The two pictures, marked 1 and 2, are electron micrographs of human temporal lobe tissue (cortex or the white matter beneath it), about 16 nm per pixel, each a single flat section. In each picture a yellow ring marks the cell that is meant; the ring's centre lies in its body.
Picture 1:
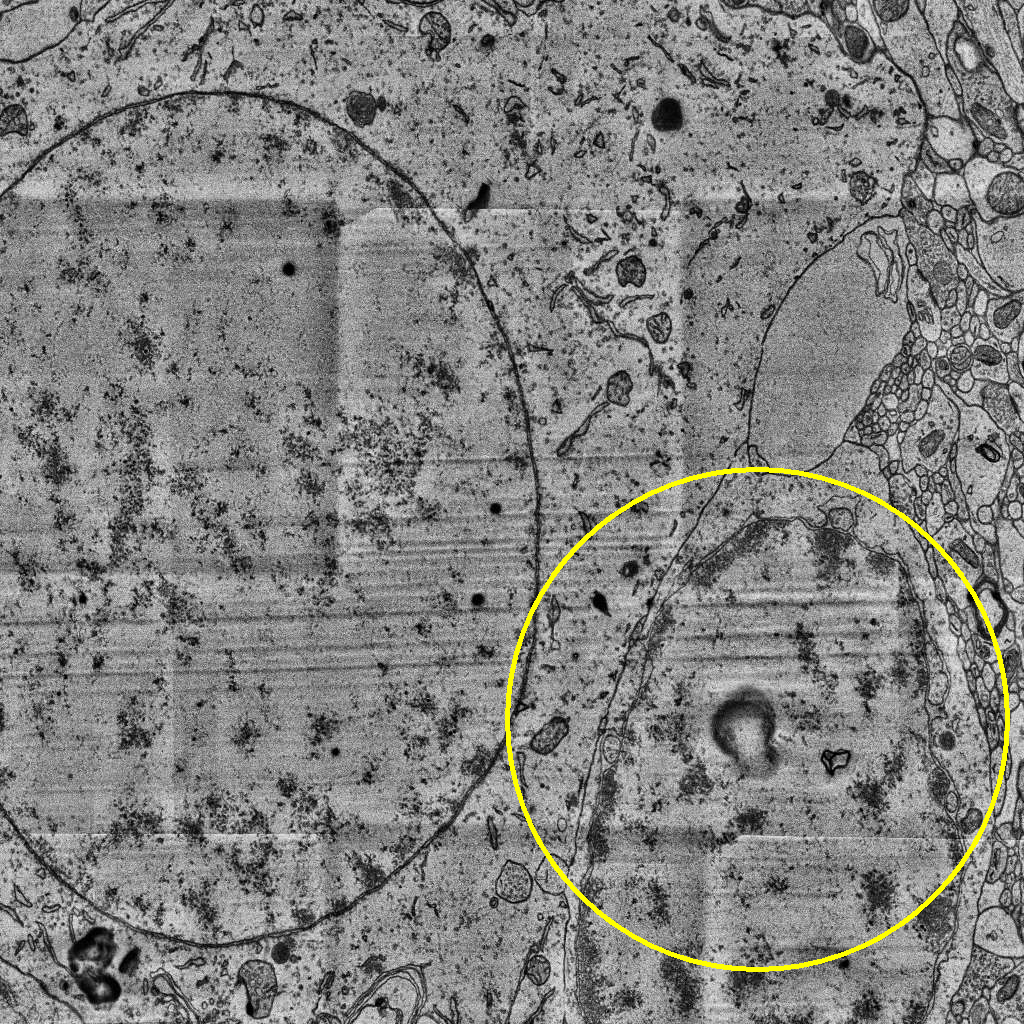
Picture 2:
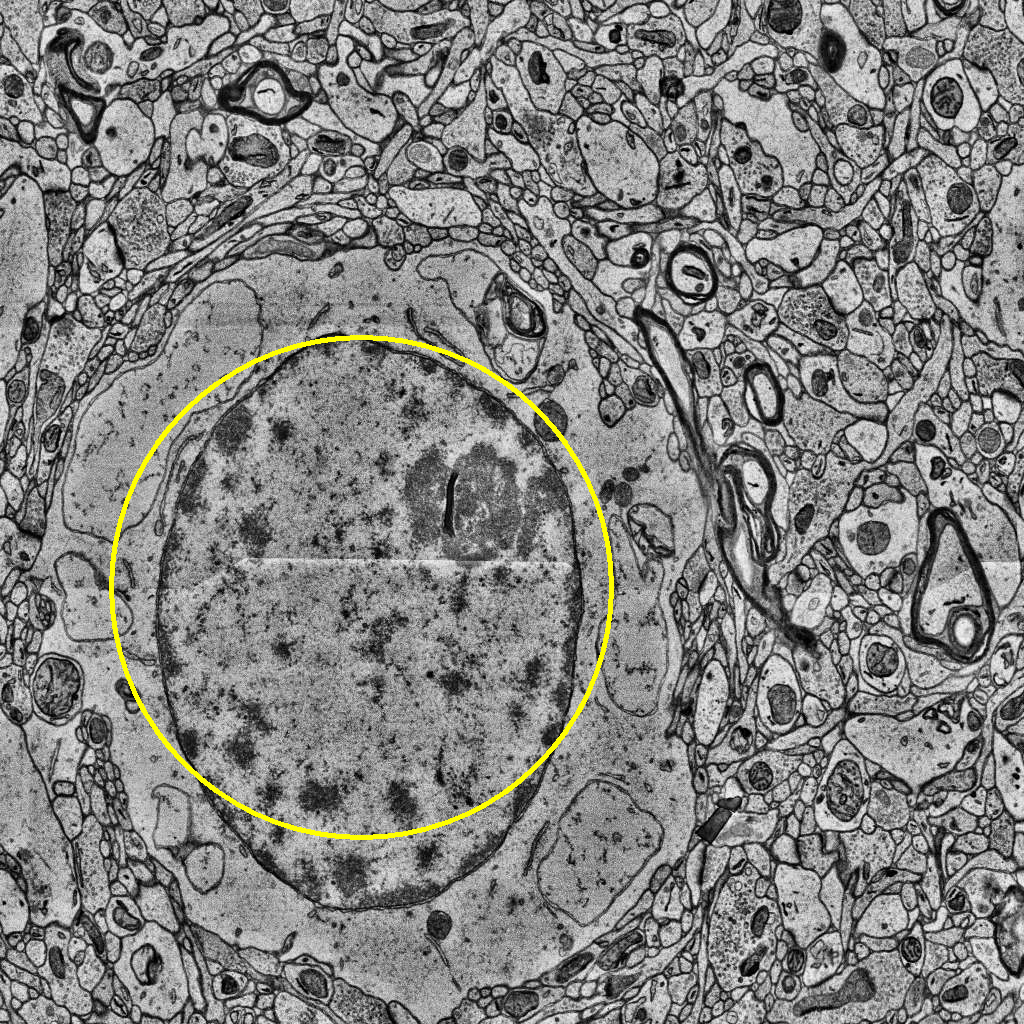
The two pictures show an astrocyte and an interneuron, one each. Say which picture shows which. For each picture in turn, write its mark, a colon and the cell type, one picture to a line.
1: interneuron
2: astrocyte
